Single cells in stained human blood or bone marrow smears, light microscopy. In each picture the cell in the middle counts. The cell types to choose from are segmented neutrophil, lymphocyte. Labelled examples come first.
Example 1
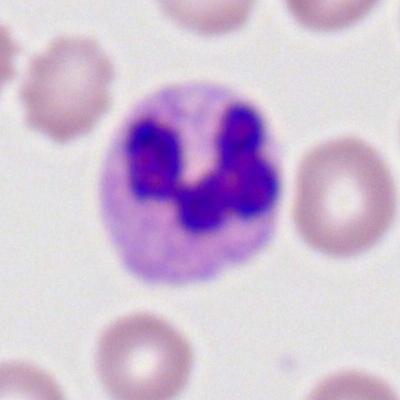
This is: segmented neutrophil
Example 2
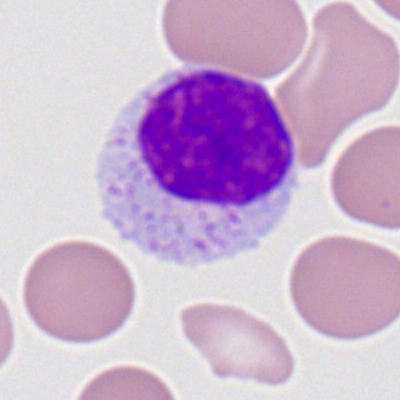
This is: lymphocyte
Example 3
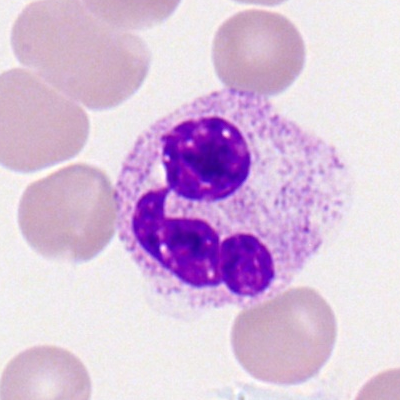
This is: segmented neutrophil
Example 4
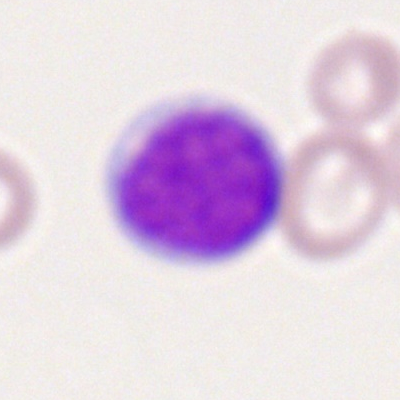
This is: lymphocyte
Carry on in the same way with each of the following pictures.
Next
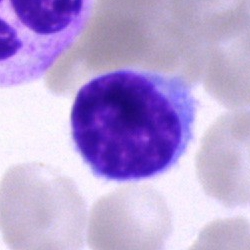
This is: lymphocyte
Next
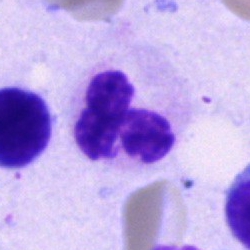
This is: segmented neutrophil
